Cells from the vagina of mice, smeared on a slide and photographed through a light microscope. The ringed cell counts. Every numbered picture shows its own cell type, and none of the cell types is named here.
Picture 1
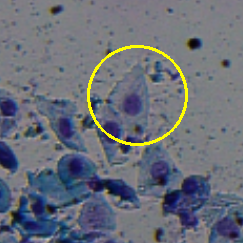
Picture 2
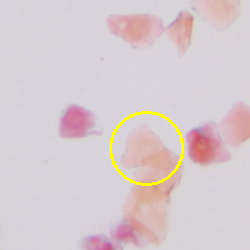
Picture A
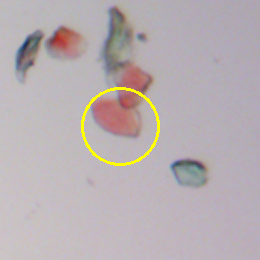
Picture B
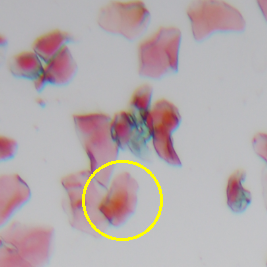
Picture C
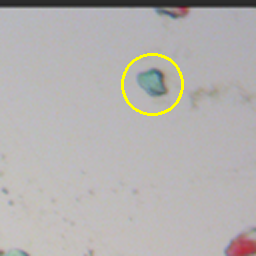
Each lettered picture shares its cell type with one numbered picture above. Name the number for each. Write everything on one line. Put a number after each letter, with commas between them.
A 2, B 2, C 2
